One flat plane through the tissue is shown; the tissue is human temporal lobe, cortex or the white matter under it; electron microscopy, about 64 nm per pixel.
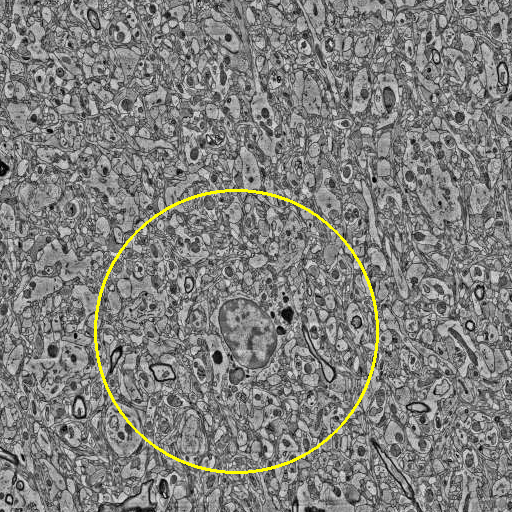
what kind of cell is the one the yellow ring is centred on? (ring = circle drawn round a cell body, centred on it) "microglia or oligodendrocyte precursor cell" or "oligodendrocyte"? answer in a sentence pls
The ring is drawn around a microglial cell or oligodendrocyte precursor cell.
